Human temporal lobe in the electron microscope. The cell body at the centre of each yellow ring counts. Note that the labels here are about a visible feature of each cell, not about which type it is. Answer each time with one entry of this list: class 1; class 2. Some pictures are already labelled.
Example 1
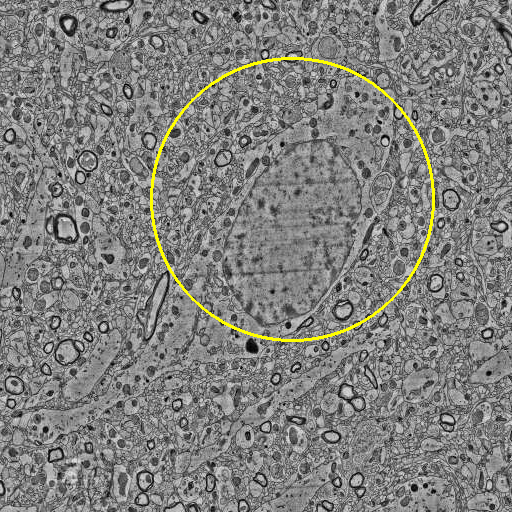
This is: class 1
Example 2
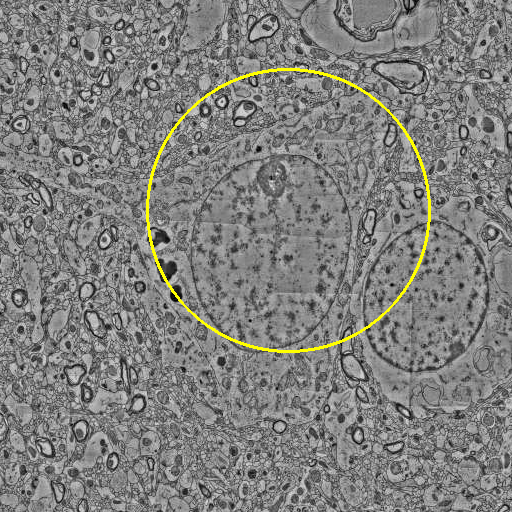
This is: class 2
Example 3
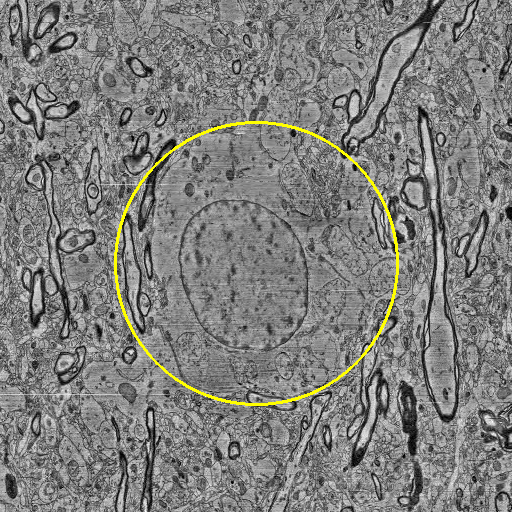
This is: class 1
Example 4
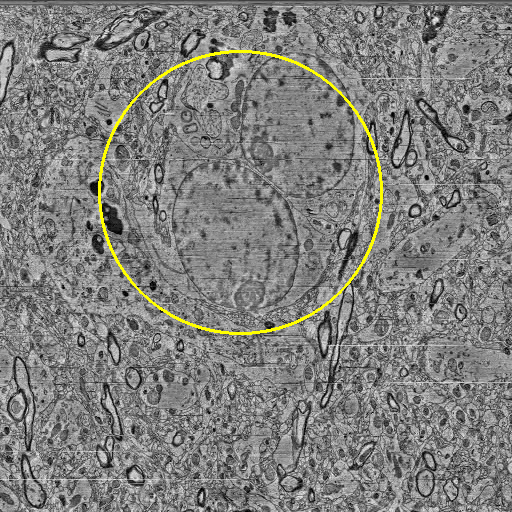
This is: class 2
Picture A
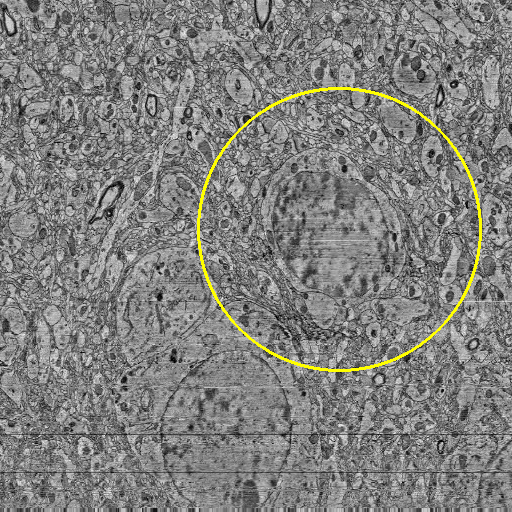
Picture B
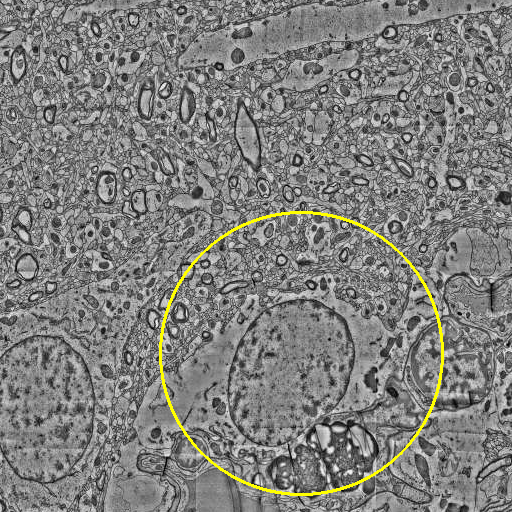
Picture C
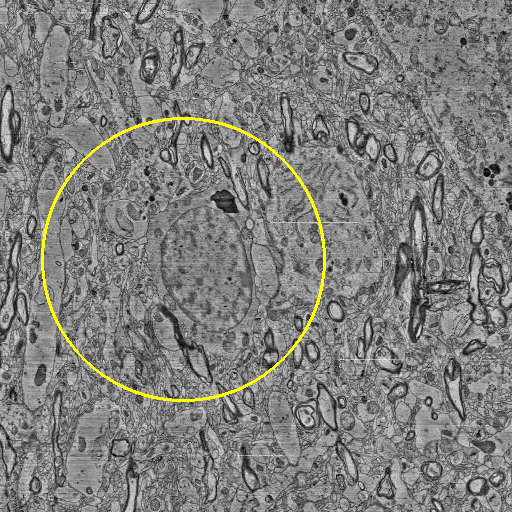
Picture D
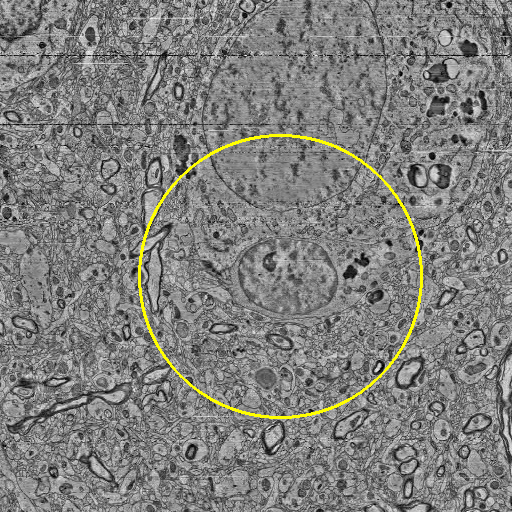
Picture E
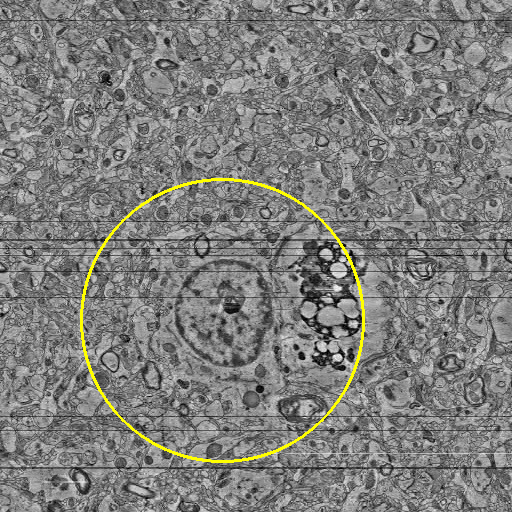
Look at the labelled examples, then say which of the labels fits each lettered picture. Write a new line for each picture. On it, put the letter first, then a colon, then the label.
A: class 1
B: class 1
C: class 1
D: class 2
E: class 2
